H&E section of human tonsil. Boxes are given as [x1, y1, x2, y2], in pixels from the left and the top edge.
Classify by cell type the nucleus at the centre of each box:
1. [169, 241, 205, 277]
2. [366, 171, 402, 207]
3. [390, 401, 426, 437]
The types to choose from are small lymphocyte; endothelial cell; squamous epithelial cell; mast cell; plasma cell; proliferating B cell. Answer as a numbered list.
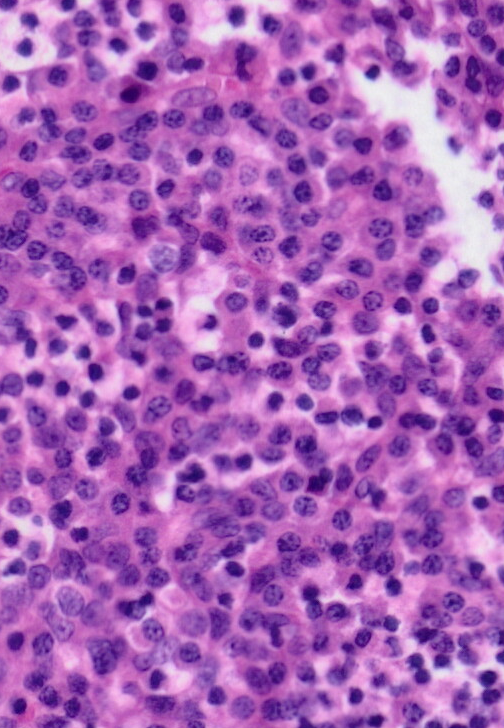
1. squamous epithelial cell
2. plasma cell
3. plasma cell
